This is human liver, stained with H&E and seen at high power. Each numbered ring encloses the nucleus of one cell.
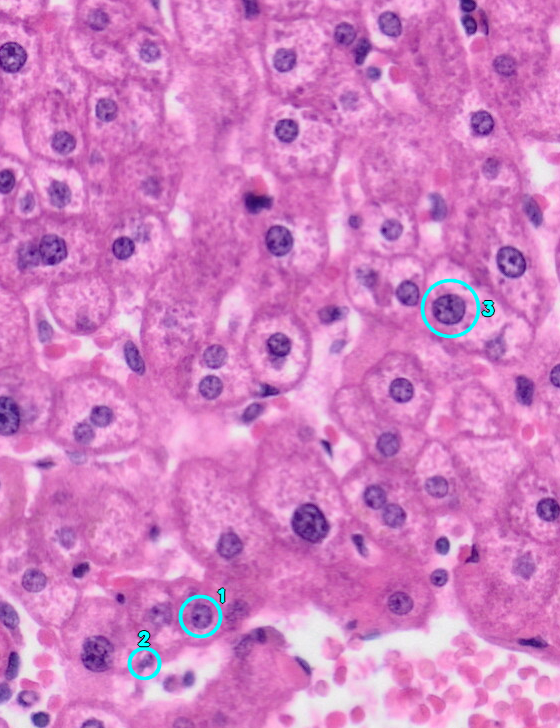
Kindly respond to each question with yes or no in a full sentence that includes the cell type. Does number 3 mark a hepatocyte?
Yes, the cell with its nucleus marked 3 is a hepatocyte.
